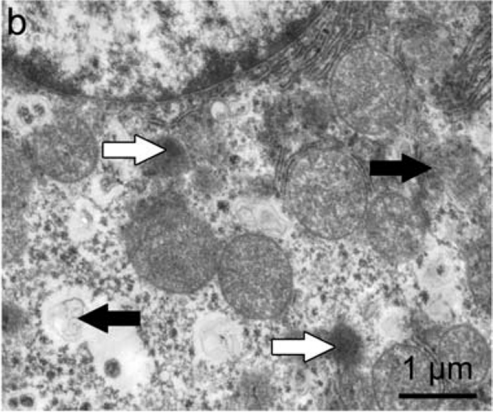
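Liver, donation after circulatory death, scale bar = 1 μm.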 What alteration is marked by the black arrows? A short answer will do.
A: partial mitochondrial lysis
